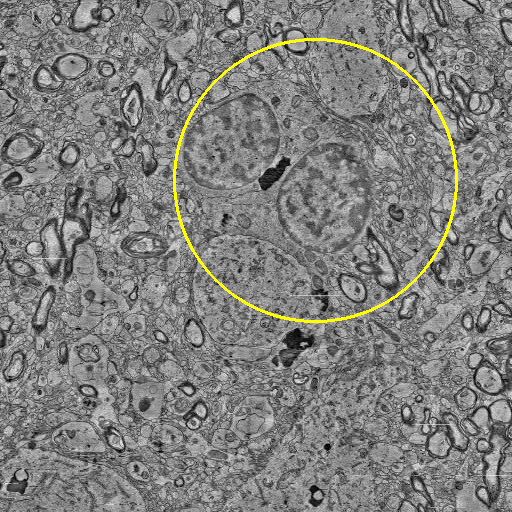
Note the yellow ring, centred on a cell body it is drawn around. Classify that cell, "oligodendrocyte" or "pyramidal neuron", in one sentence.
The cell the ring is centred on is an oligodendrocyte.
